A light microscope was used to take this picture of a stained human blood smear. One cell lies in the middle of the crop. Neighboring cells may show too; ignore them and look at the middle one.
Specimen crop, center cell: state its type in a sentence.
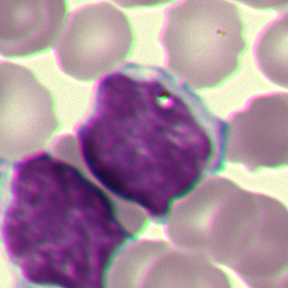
The cell at the heart of this crop is a typical lymphocyte.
